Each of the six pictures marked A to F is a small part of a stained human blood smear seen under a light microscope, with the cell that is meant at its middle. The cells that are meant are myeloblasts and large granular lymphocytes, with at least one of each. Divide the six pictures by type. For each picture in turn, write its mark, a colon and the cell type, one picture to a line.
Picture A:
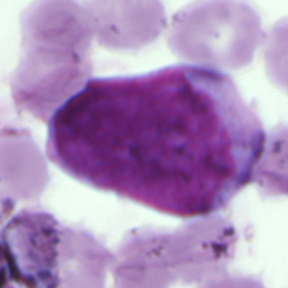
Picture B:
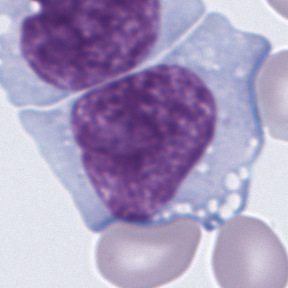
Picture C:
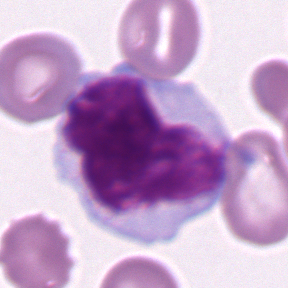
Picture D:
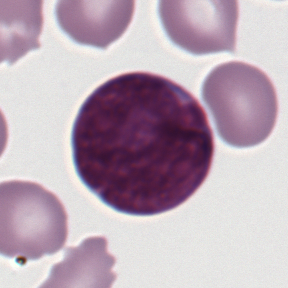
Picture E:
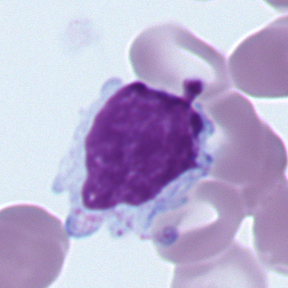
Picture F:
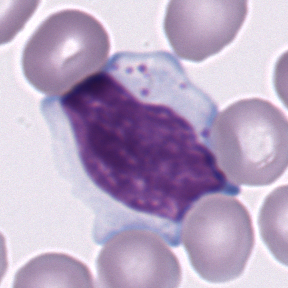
A: myeloblast
B: myeloblast
C: large granular lymphocyte
D: myeloblast
E: large granular lymphocyte
F: large granular lymphocyte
